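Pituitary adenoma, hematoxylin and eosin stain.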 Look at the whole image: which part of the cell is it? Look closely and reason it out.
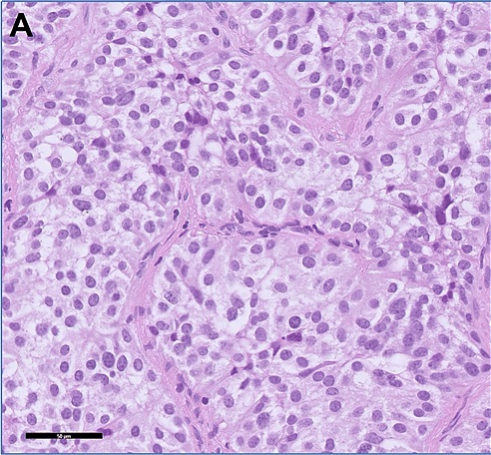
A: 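The tumour cells have pale pink to almost unstained cytoplasm. Many cells show clear, vacuolated-looking cytoplasm around the nucleus. That points to this answer: faintly eosinophilic to clear cytoplasm.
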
